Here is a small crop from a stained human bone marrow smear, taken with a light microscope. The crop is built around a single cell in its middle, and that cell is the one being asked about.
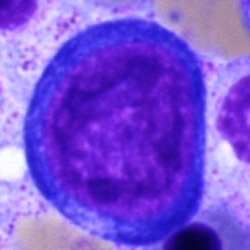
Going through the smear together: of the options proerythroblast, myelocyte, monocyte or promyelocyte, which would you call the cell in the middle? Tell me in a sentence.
The cell at the middle of the crop is recognized as a proerythroblast.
